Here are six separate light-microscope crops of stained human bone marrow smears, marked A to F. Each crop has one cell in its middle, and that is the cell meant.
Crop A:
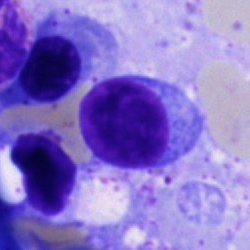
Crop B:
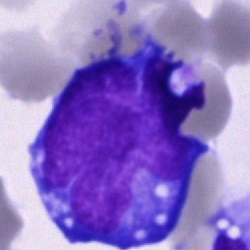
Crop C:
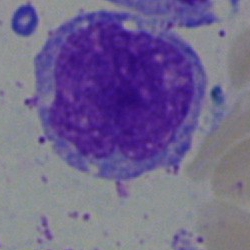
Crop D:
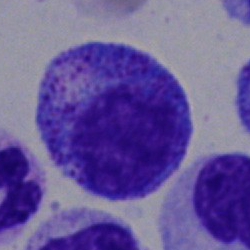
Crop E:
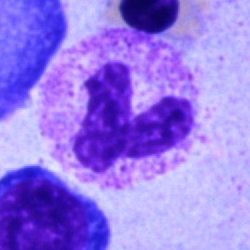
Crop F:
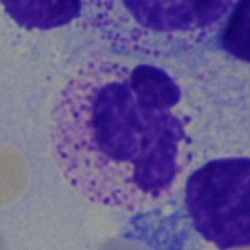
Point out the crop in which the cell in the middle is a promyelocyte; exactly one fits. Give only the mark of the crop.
D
